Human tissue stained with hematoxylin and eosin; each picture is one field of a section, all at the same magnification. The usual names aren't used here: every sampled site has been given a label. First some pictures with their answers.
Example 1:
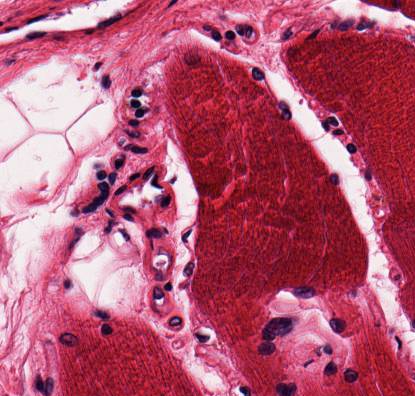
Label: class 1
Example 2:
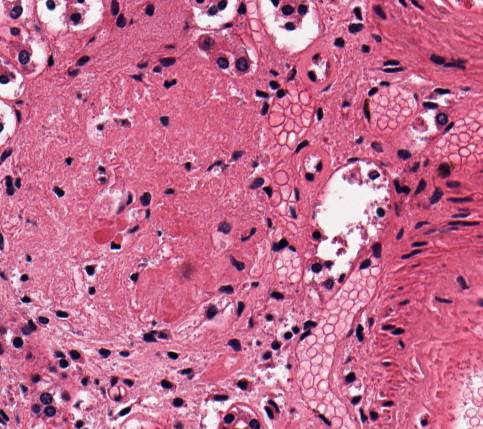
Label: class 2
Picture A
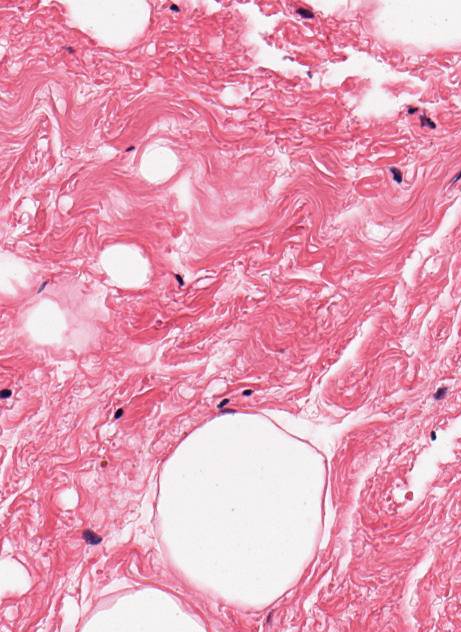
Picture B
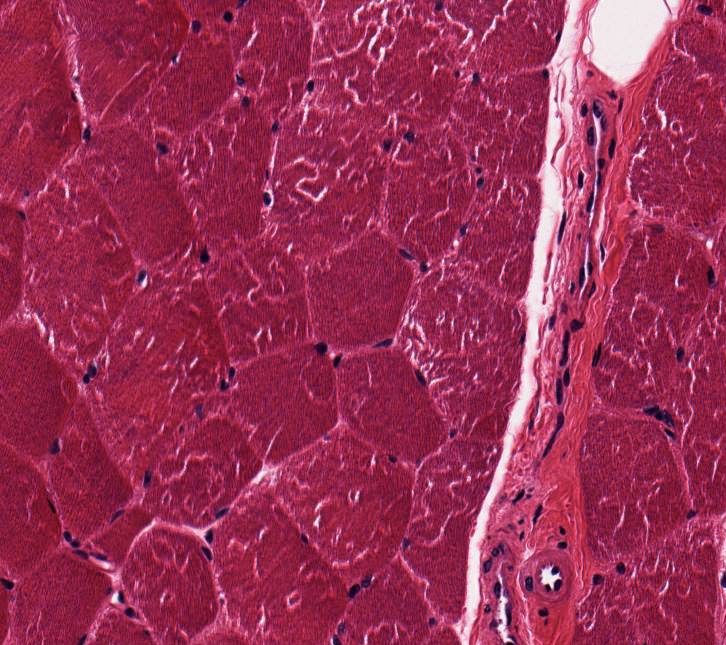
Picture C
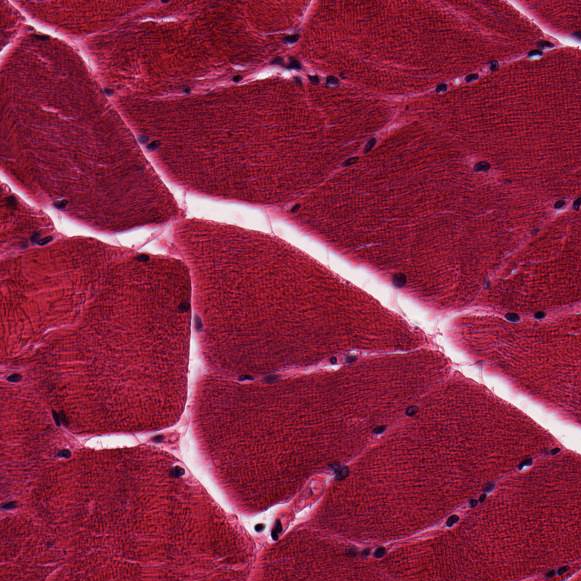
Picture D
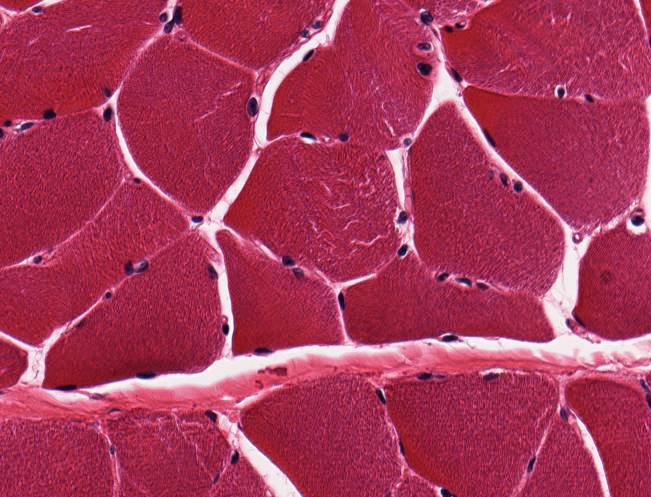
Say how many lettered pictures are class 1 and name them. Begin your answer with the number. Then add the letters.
4: A, B, C, D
